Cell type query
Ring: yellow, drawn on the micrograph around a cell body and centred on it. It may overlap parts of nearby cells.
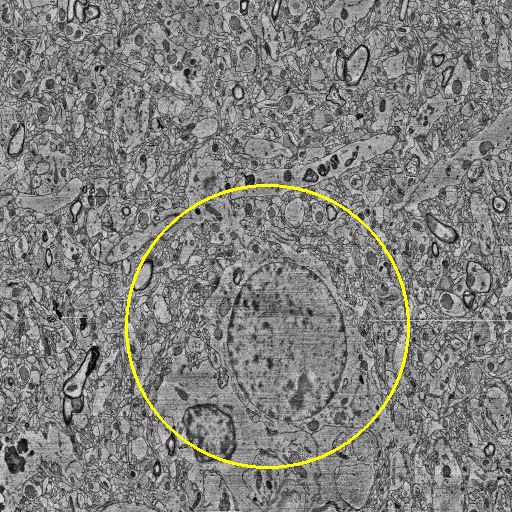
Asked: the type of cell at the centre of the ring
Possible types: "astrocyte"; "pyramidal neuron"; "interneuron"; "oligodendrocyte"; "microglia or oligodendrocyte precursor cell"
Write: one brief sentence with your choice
The ring marks an astrocyte.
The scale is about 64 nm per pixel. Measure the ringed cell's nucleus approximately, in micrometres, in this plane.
About 10 by 8 micrometers, in this plane.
